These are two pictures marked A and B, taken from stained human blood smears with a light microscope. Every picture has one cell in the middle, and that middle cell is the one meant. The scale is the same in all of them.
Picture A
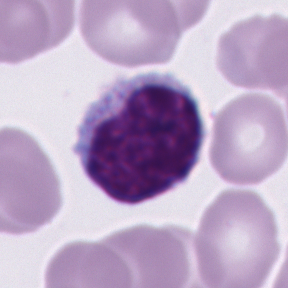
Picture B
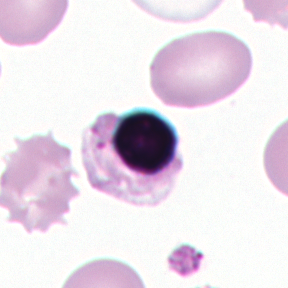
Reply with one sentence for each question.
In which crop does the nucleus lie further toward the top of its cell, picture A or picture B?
Seen within its cell, the nucleus in picture B lies further toward the top.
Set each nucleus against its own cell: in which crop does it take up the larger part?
In picture A the nucleus takes up the larger part of its cell.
